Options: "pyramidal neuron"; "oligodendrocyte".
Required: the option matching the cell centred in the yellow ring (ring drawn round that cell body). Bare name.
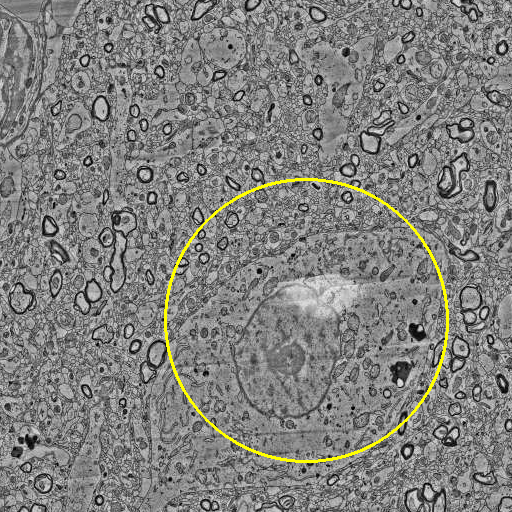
pyramidal neuron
